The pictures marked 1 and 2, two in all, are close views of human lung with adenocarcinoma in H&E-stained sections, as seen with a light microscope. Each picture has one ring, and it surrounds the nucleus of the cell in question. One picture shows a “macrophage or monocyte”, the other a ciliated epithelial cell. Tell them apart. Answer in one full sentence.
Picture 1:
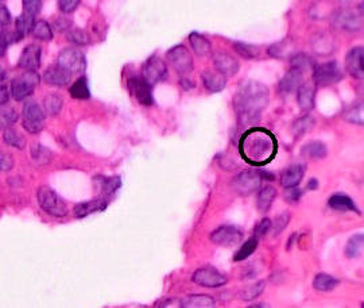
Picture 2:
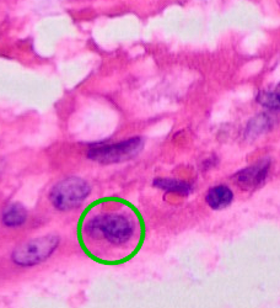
Picture 1 shows a ciliated epithelial cell and picture 2 shows a “macrophage or monocyte”.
